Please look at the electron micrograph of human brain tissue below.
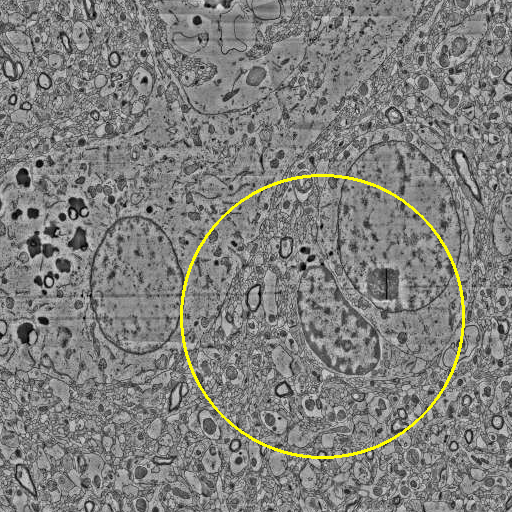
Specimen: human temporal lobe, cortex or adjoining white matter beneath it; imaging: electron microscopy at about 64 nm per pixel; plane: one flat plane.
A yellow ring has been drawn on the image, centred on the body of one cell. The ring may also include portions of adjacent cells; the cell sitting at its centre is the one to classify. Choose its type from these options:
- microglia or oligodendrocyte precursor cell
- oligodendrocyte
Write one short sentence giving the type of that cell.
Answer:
The cell in the middle of the ring is a microglial cell or oligodendrocyte precursor cell.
